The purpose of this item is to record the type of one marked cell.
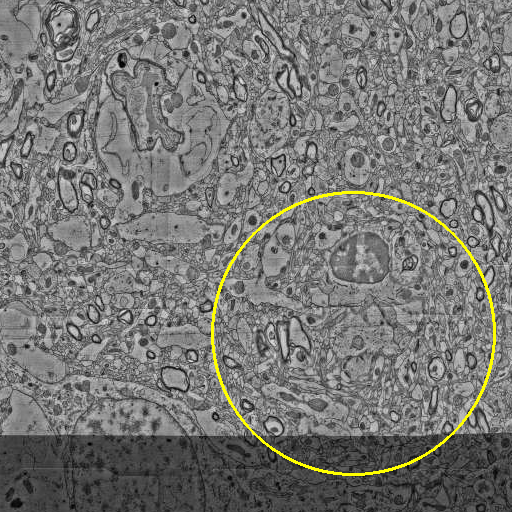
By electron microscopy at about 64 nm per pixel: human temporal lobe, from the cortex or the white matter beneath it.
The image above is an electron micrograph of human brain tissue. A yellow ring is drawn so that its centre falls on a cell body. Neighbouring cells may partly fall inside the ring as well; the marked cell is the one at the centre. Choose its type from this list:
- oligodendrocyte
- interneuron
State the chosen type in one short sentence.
What the ring marks here is an interneuron.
